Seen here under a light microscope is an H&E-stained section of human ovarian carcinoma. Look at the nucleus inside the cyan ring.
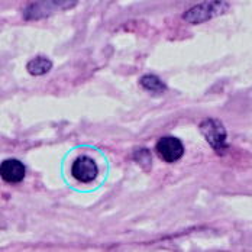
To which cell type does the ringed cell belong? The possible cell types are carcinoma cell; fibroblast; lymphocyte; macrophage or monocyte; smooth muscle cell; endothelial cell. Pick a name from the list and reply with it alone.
lymphocyte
